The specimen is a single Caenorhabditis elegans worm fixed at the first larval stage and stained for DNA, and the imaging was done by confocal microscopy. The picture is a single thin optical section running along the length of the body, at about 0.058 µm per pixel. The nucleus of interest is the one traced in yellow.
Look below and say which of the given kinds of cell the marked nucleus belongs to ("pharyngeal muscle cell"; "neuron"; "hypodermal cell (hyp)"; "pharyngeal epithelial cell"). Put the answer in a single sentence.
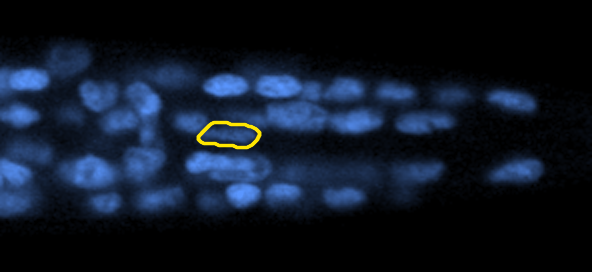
The marked nucleus belongs to a pharyngeal muscle cell.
